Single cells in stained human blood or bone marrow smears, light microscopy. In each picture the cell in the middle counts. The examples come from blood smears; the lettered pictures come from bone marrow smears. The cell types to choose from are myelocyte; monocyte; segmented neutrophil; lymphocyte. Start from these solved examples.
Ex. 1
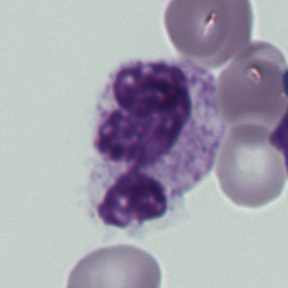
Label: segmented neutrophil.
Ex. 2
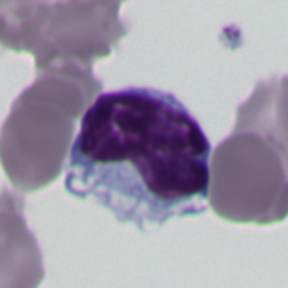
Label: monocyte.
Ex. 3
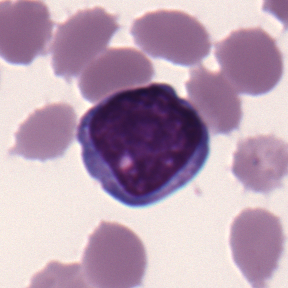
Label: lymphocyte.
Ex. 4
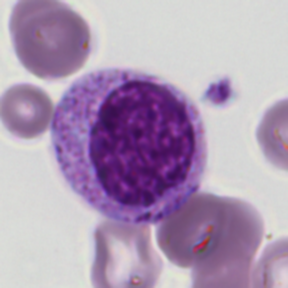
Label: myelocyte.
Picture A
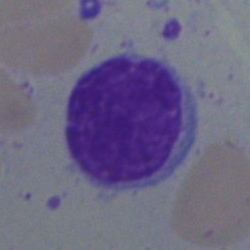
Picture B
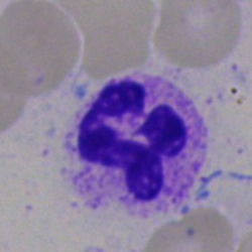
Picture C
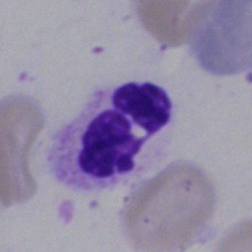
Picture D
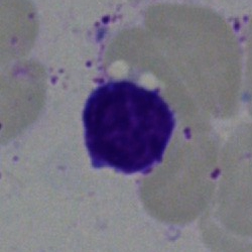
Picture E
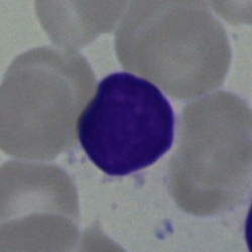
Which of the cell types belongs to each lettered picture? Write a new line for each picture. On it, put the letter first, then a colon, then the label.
A: lymphocyte.
B: segmented neutrophil.
C: segmented neutrophil.
D: lymphocyte.
E: lymphocyte.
